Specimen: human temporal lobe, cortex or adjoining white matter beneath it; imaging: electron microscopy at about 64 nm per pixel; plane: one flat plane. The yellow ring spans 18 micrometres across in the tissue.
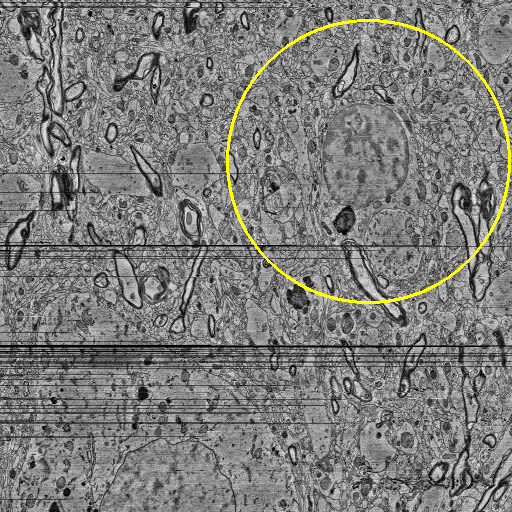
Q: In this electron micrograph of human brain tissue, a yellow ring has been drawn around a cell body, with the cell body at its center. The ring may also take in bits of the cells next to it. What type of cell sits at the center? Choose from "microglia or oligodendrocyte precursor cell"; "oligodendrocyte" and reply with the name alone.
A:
oligodendrocyte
